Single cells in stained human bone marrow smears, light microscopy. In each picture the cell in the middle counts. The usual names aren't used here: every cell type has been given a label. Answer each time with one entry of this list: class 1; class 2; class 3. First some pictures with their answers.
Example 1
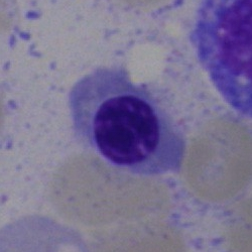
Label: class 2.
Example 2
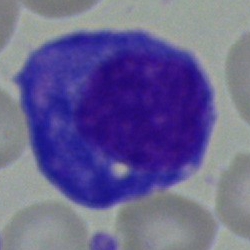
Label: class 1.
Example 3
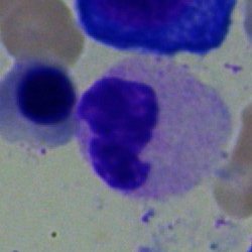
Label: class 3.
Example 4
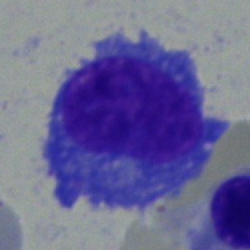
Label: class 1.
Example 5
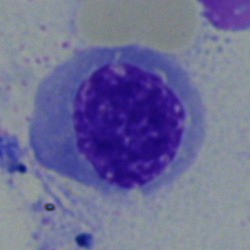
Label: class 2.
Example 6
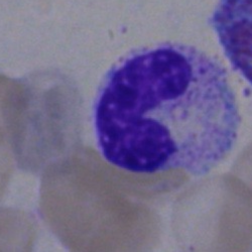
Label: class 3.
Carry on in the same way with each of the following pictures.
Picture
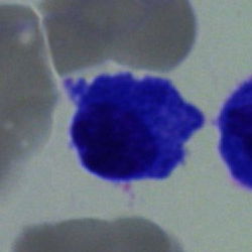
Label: class 1.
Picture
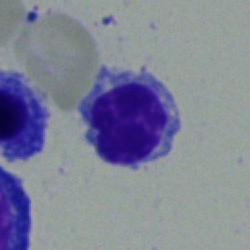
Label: class 2.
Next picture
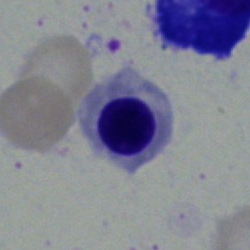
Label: class 2.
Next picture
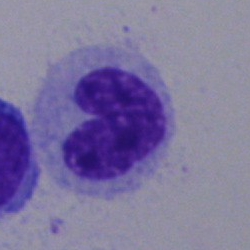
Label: class 3.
